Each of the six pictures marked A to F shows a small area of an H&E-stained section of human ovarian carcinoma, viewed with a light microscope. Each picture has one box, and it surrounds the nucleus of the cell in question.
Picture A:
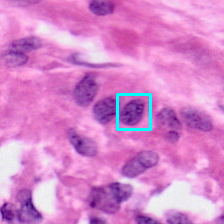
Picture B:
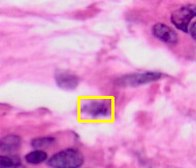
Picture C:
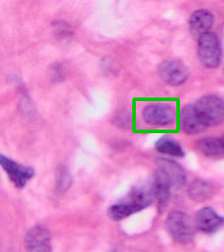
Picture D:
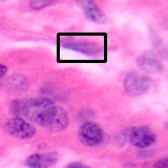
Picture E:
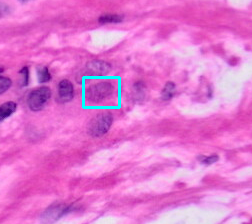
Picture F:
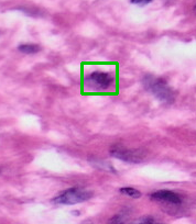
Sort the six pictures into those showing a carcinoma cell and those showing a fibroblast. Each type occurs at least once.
A: carcinoma cell
B: fibroblast
C: carcinoma cell
D: fibroblast
E: carcinoma cell
F: fibroblast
